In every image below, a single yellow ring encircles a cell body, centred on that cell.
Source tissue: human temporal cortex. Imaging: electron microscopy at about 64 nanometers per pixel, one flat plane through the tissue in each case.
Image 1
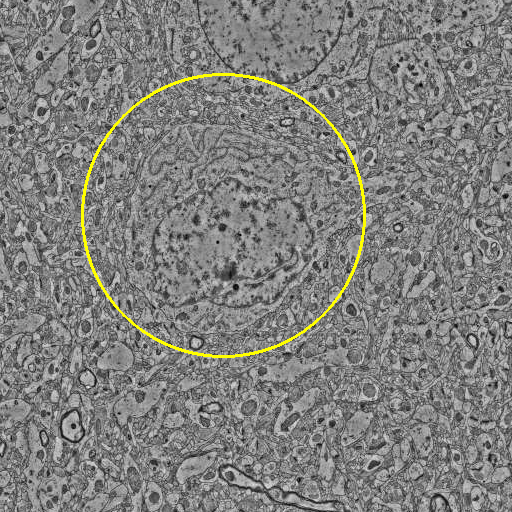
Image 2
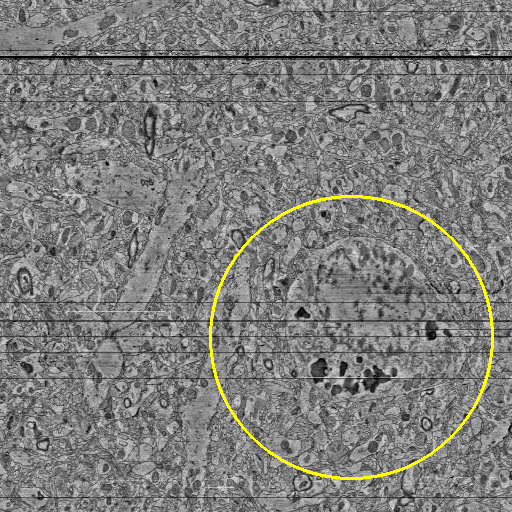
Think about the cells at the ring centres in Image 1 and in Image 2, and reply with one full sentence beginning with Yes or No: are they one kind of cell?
Yes, the cells centred in the rings of Image 1 and Image 2 are one kind of cell.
